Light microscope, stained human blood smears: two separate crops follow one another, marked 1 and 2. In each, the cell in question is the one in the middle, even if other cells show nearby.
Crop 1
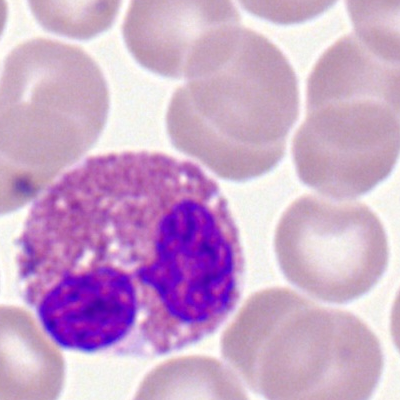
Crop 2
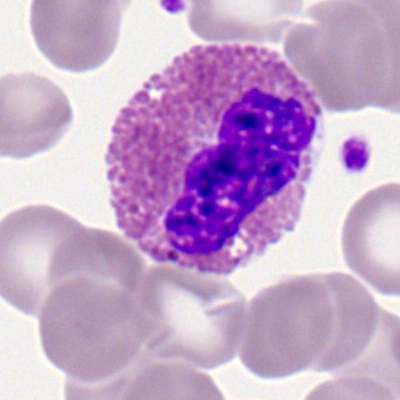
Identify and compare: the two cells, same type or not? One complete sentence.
Yes, at the centre of both crops are eosinophils.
